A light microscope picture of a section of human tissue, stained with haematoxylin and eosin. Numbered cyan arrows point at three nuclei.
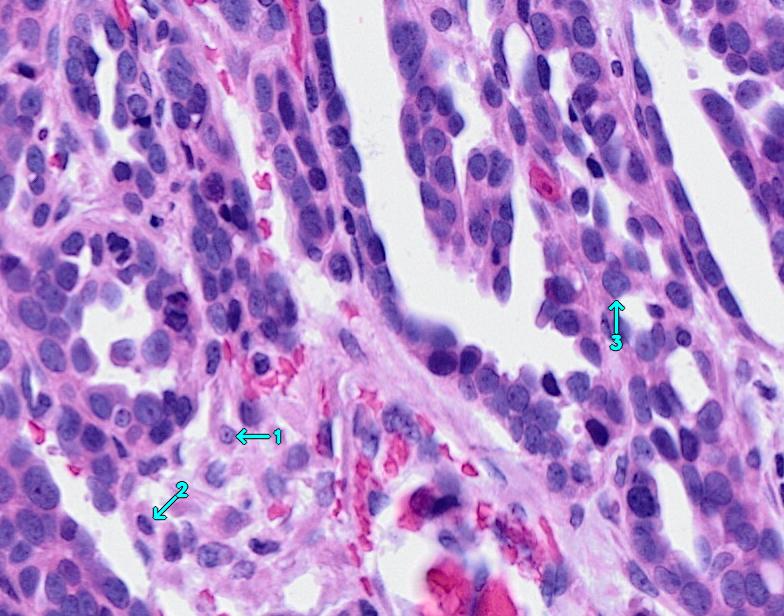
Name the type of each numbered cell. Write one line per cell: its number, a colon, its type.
1: macrophage or monocyte
2: macrophage or monocyte
3: carcinoma cell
